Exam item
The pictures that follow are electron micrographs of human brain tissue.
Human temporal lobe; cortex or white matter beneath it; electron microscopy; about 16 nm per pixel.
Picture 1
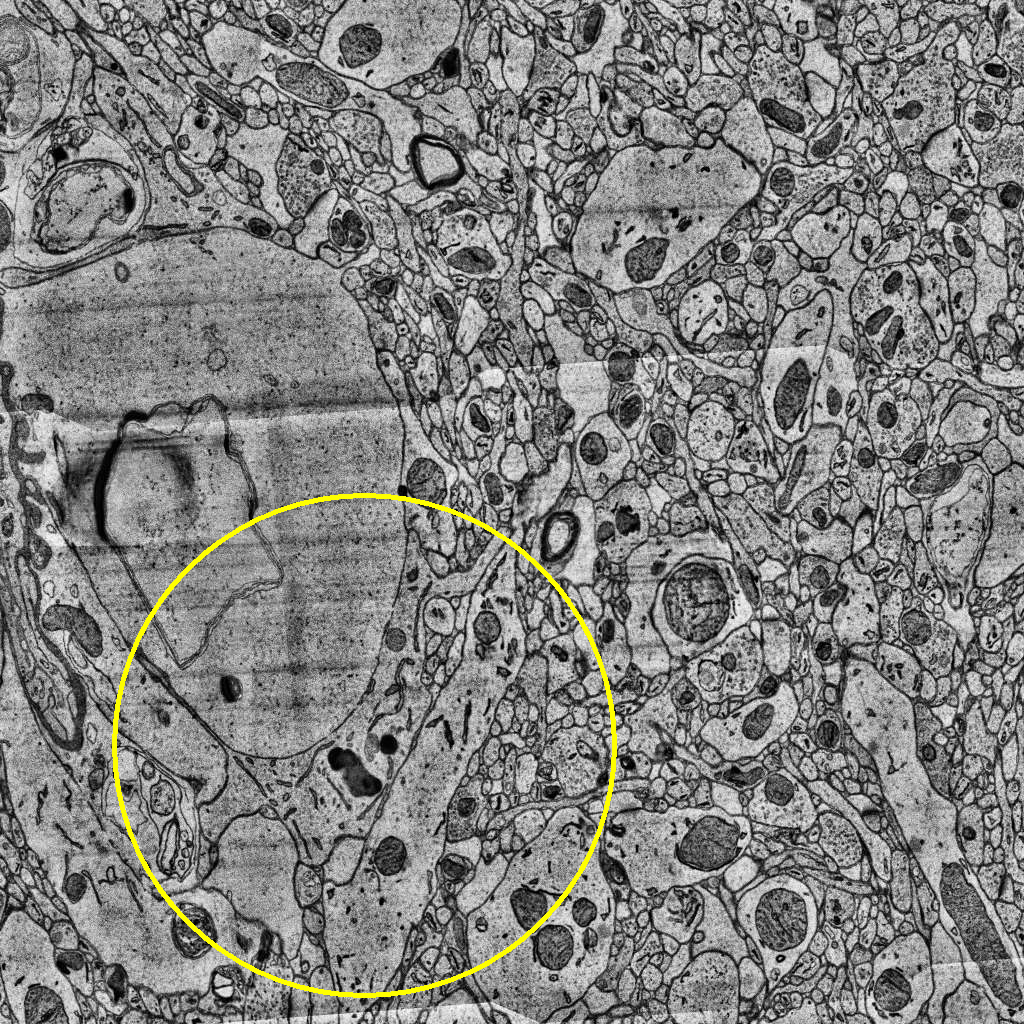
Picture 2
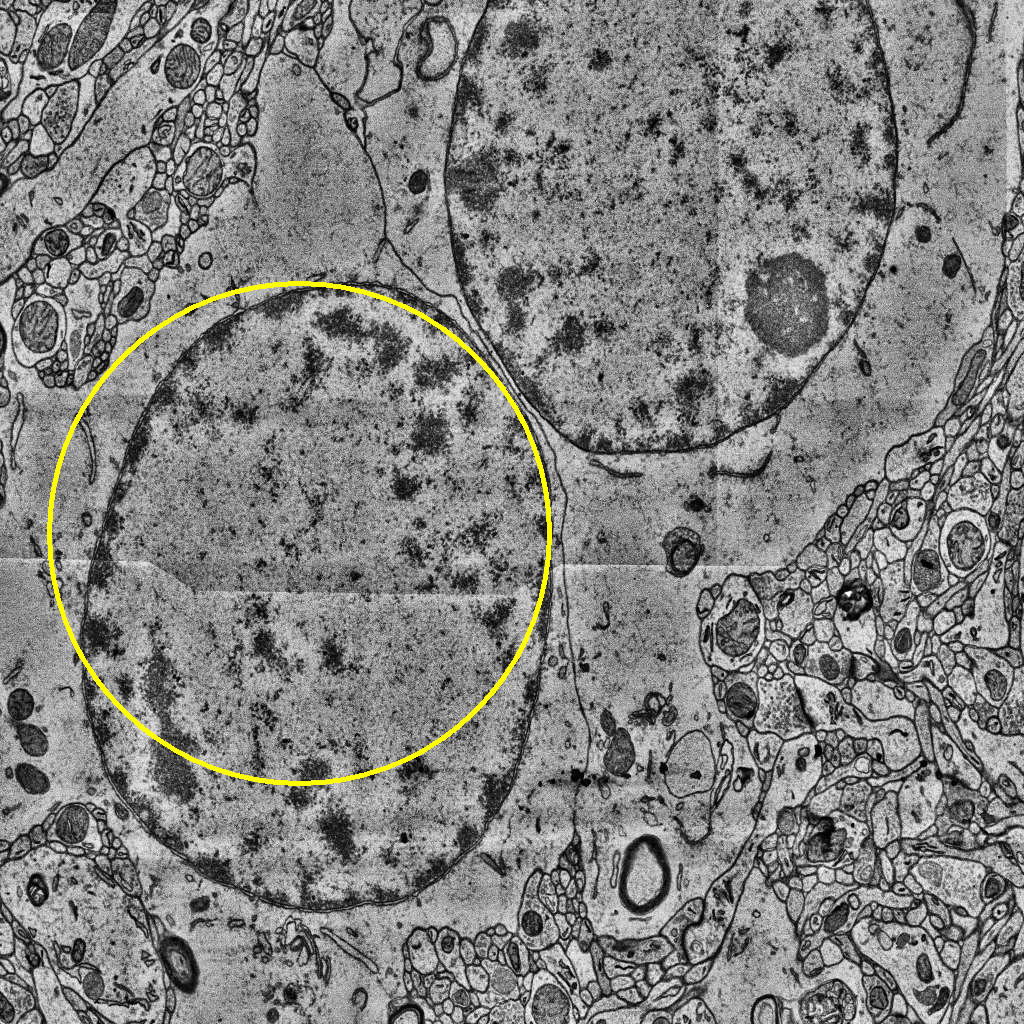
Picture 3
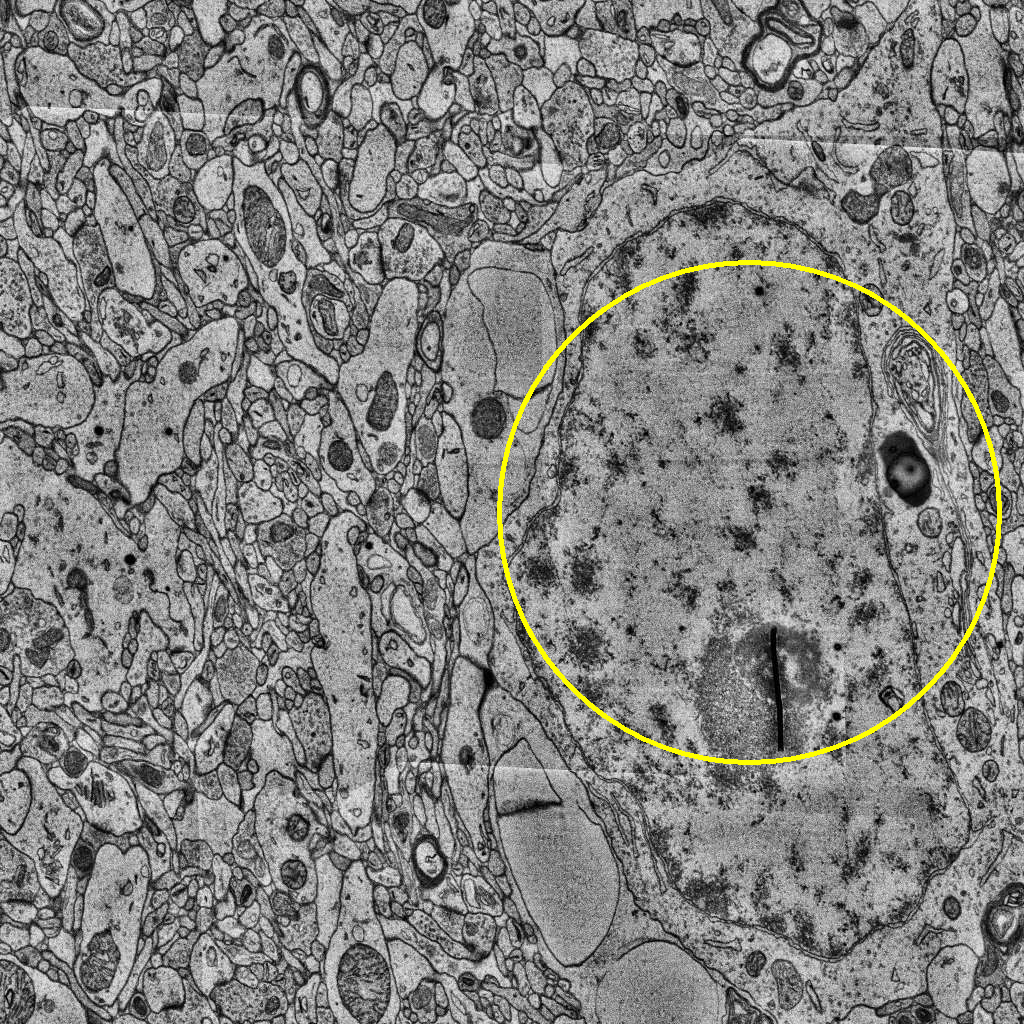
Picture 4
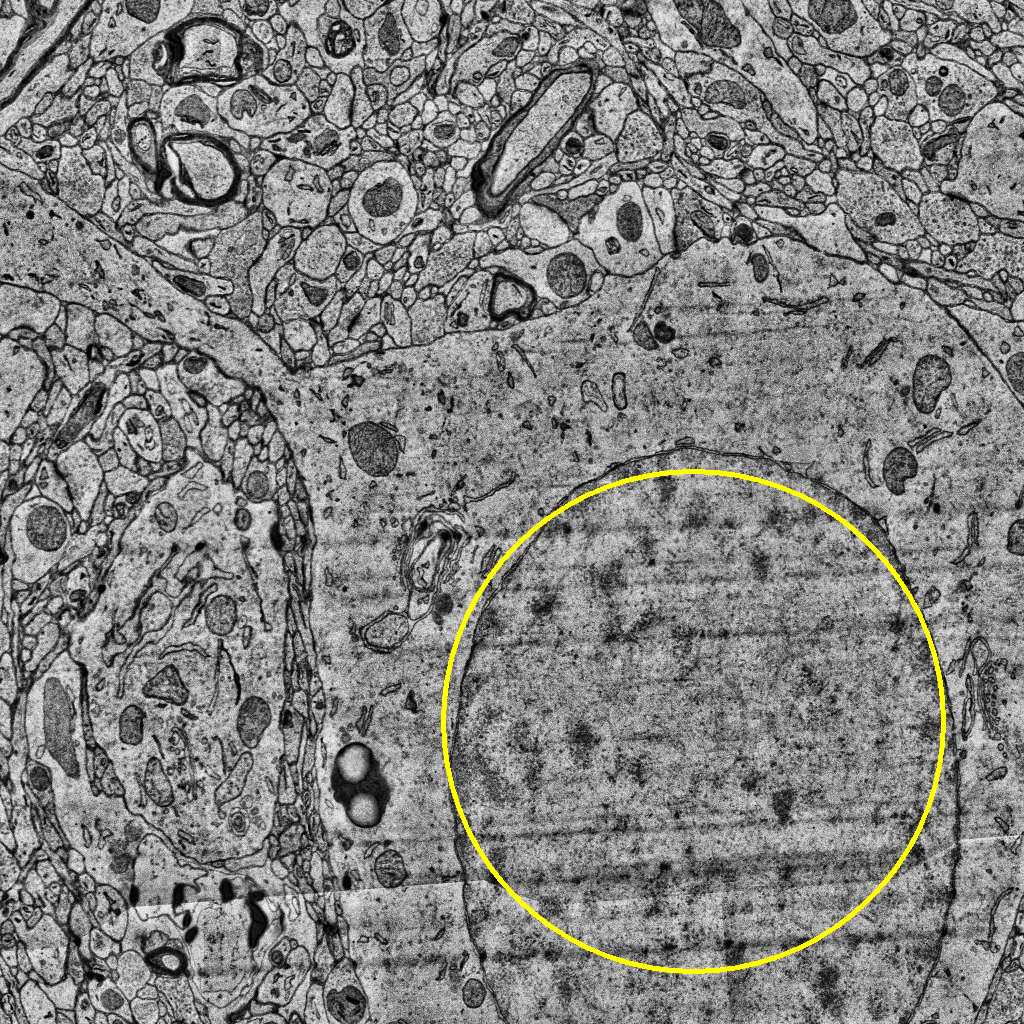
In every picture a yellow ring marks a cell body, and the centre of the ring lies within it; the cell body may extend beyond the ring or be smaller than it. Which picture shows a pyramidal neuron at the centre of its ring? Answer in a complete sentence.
The cell at the centre of the ring in Picture 4 is the one asked for.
